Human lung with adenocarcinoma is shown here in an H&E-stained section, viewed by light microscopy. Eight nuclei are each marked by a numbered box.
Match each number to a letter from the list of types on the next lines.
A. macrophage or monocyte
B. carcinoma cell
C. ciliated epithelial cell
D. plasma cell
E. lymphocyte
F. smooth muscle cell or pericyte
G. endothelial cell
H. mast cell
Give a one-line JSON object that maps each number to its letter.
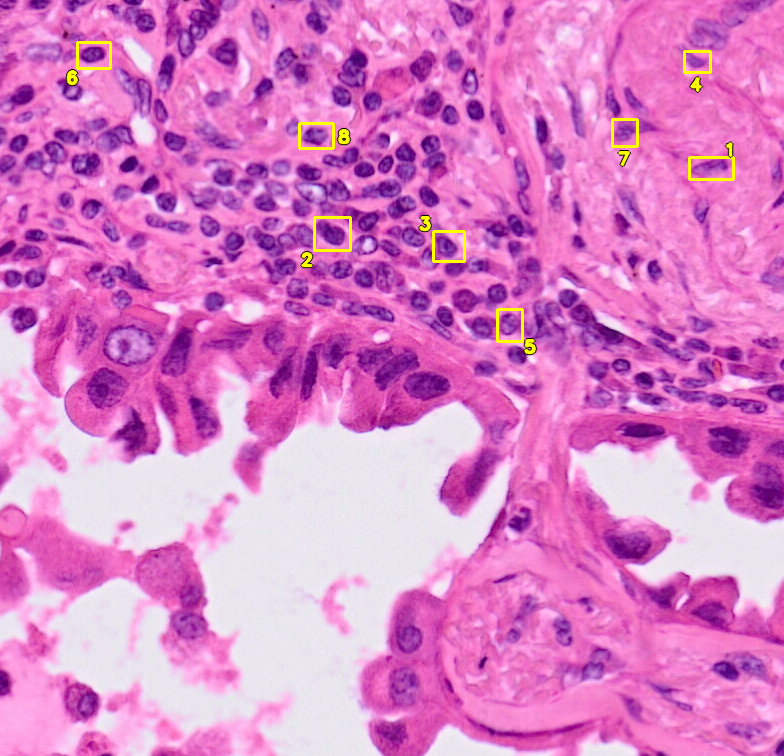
{"1": "F", "2": "E", "3": "E", "4": "F", "5": "E", "6": "E", "7": "F", "8": "E"}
